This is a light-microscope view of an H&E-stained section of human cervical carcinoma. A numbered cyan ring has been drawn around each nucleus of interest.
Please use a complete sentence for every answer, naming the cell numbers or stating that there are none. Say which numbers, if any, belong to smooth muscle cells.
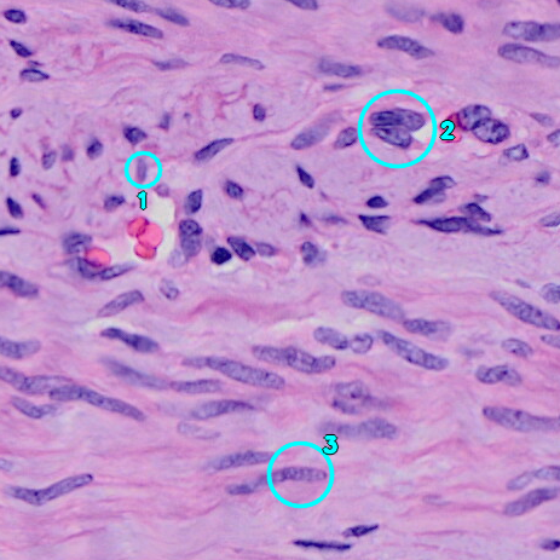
The cells with numbers 1 and 3 are smooth muscle cells by type.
